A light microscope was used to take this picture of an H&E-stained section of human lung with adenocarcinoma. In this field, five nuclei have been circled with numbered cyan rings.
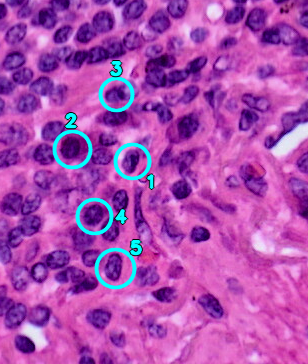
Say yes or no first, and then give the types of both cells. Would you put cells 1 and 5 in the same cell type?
Yes, the cells numbered 1 and 5 are both lymphocytes.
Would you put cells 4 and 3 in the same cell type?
No, cell number 4 is a plasma cell, and cell number 3 is a lymphocyte.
